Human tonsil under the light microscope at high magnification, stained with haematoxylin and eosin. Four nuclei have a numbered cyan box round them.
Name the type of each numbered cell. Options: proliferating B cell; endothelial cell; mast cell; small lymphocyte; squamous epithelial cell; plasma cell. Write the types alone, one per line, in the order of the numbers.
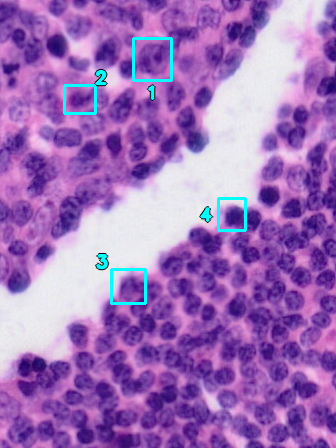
proliferating B cell
proliferating B cell
proliferating B cell
small lymphocyte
